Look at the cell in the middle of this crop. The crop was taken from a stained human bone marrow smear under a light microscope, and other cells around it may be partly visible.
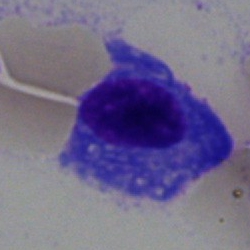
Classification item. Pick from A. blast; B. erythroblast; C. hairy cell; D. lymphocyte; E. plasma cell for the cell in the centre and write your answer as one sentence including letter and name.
Option E gets it right: the cell in the middle is a plasma cell.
